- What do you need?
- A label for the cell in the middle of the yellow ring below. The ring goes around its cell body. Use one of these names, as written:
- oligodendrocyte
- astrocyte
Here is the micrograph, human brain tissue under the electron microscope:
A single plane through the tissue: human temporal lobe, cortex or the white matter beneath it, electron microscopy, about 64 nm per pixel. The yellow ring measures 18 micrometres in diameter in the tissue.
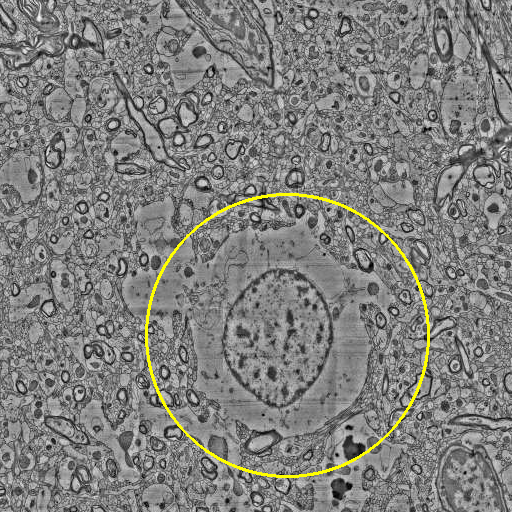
astrocyte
